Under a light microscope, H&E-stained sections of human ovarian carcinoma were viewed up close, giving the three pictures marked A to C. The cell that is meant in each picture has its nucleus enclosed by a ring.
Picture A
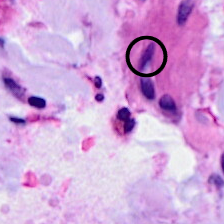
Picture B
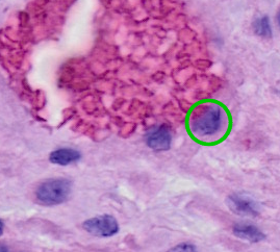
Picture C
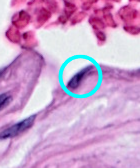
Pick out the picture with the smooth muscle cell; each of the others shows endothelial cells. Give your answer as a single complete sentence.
The smooth muscle cell is the one in picture A.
